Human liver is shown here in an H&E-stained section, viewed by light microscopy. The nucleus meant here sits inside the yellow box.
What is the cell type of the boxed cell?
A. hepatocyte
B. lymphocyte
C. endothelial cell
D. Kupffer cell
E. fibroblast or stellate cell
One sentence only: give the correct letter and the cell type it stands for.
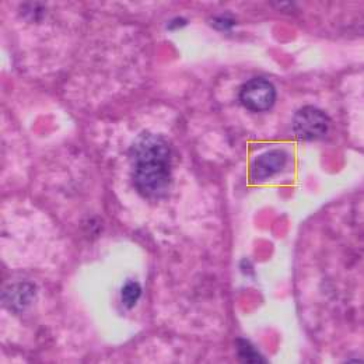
Option D is correct; the boxed cell is a Kupffer cell.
